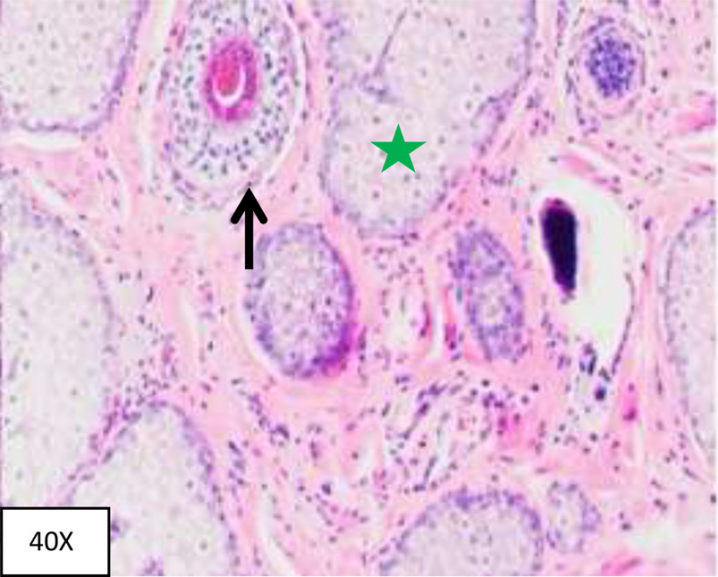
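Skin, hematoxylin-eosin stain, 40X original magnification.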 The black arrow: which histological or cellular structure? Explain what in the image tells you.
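The arrow marks a round structure of concentric layers of small nucleated cells. Its centre holds a bright pink ring-shaped core. So: hair follicle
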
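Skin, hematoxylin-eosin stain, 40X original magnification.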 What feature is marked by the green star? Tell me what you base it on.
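Sebaceous gland. The star lies on a rounded lobule of large pale cells with foamy, vacuolated cytoplasm. Several similar pale lobules sit in pink connective tissue around it.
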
